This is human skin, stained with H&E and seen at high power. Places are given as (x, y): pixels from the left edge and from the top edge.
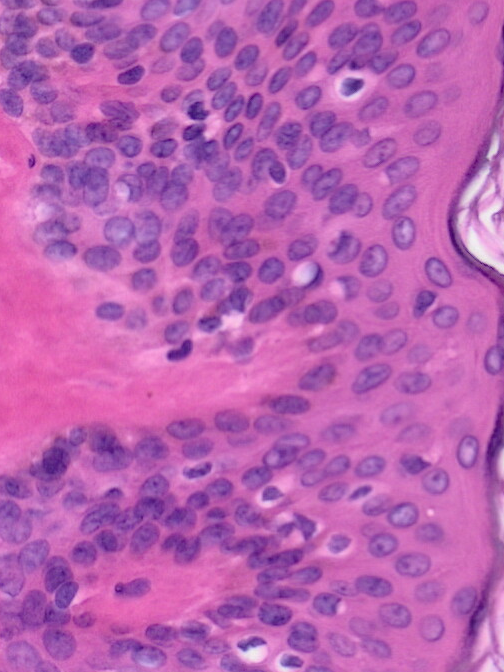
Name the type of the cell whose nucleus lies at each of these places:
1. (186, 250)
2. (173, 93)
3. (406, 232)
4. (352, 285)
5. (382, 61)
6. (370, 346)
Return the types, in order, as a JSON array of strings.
["basal keratinocyte", "basal keratinocyte", "suprabasal keratinocyte", "suprabasal keratinocyte", "basal keratinocyte", "suprabasal keratinocyte"]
